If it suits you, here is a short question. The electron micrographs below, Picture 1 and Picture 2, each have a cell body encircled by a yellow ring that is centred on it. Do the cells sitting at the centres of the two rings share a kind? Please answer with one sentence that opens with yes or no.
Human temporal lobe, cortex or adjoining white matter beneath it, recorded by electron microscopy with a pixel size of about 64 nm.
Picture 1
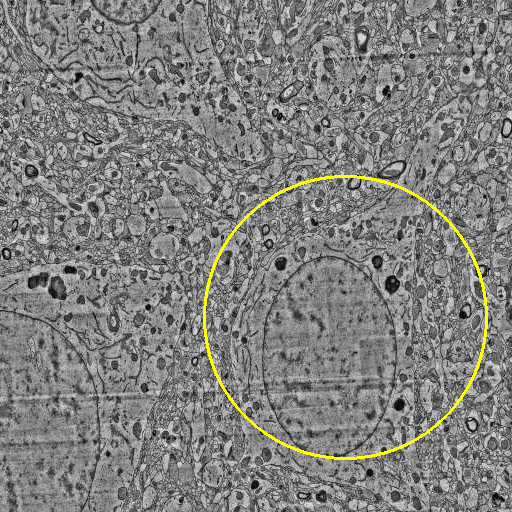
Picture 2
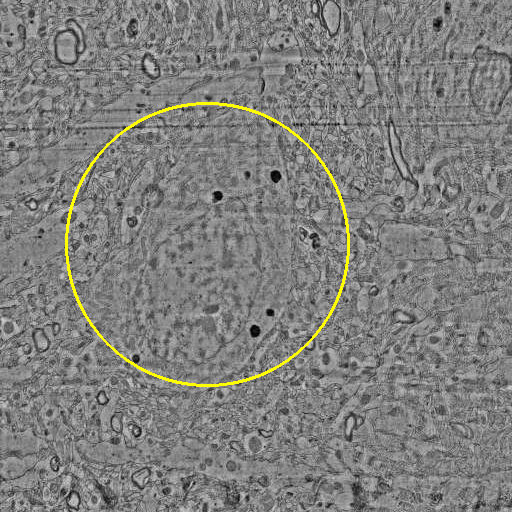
No, the two cells sitting at the ring centres fall into two kinds.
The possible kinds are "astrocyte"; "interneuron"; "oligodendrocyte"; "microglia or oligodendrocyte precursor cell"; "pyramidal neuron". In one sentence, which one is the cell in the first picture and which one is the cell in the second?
The cell ringed in the second picture is an interneuron, whereas the one ringed in the first is a pyramidal neuron.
